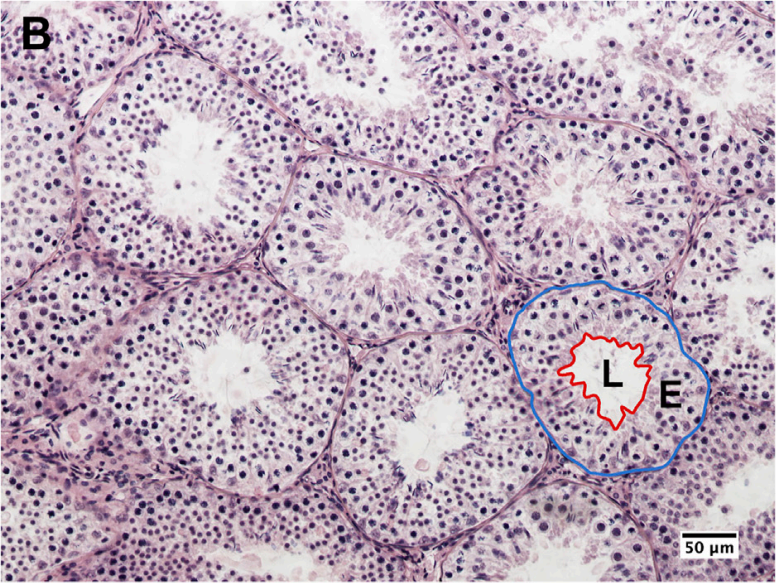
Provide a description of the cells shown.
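This section of testis shows closely packed seminiferous tubules cut in cross section, stained with purple nuclei and pink tissue. Each tubule is bounded by a thin pink wall, with narrow strips of interstitial tissue between neighbouring tubules. A thick, layered epithelium of many dark round nuclei fills most of each tubule. The pale, irregular lumen at the centre contains wispy pink material. One tubule is outlined on its outside by a blue line, and a jagged red line traces the border between its epithelium and its lumen.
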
